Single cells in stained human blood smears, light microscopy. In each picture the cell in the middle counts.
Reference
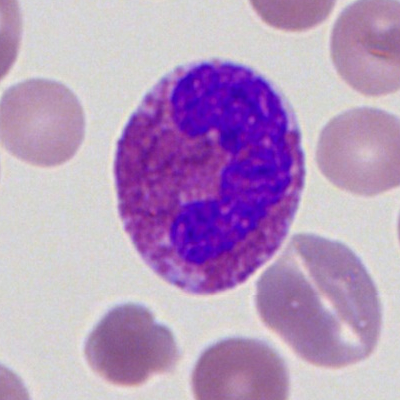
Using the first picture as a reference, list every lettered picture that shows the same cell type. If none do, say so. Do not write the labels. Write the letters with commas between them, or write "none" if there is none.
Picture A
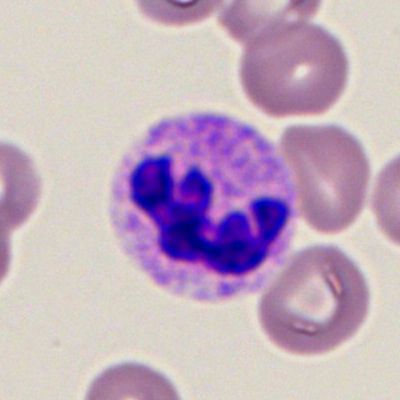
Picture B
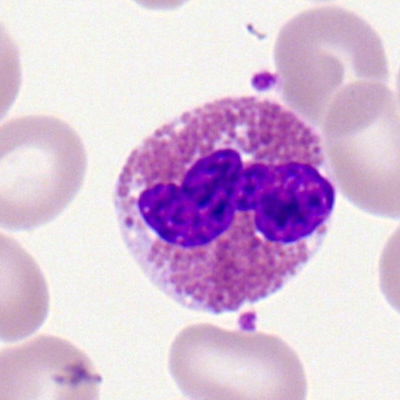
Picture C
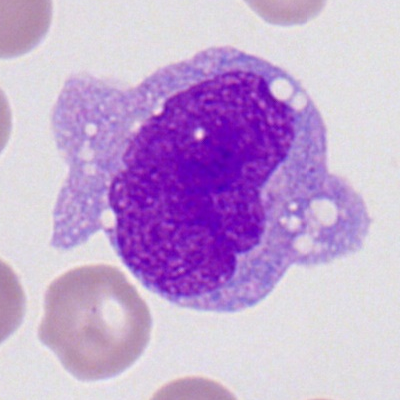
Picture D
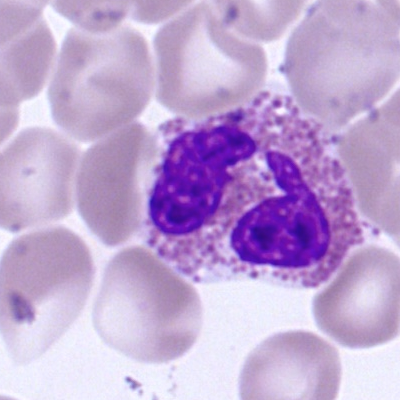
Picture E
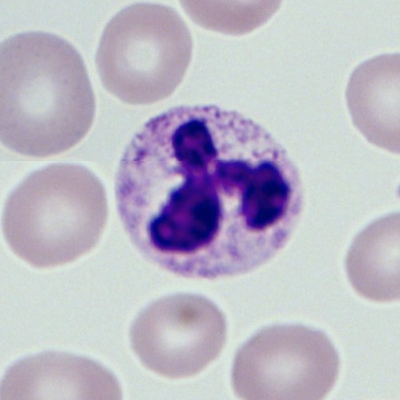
B, D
